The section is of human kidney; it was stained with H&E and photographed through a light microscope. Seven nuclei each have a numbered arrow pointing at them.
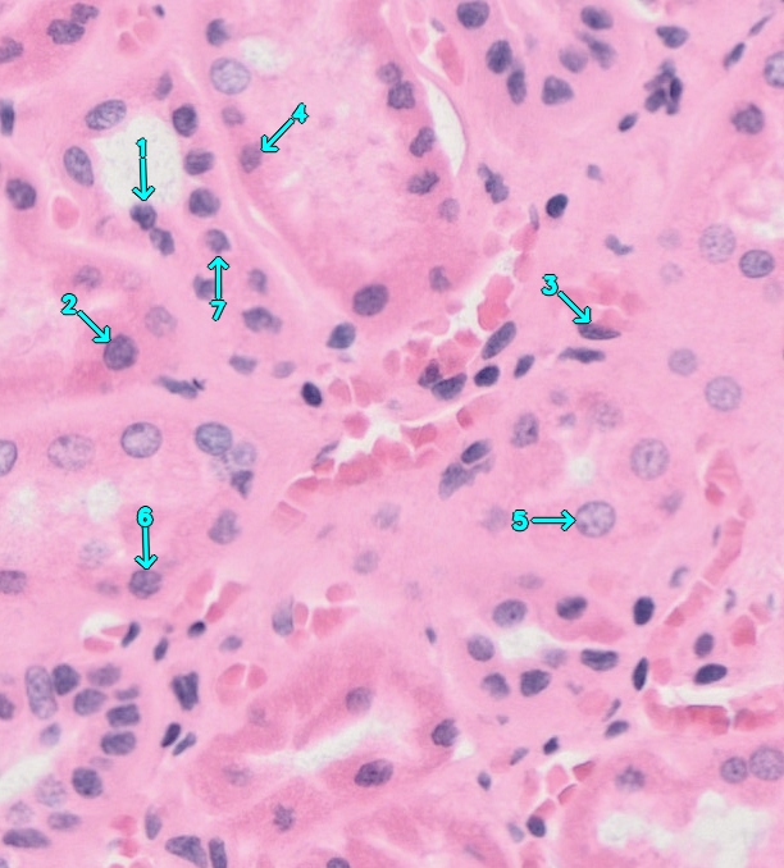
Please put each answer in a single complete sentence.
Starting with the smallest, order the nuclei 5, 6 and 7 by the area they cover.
From smallest to largest, the order is 7, 6, 5.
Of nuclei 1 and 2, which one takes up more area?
It is nucleus 2, which covers about 1.5 times the area of nucleus 1.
